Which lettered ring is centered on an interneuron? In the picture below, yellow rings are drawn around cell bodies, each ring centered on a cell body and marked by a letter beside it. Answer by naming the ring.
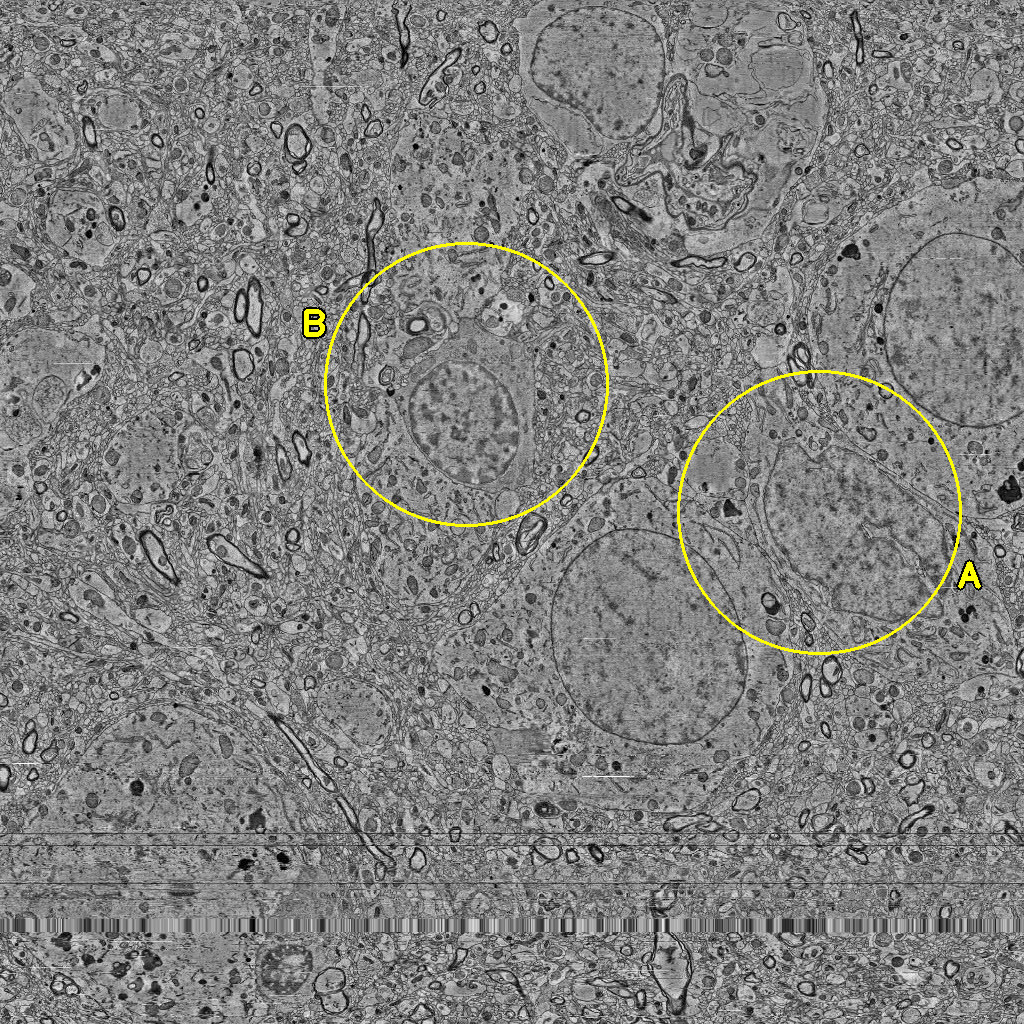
Ring A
